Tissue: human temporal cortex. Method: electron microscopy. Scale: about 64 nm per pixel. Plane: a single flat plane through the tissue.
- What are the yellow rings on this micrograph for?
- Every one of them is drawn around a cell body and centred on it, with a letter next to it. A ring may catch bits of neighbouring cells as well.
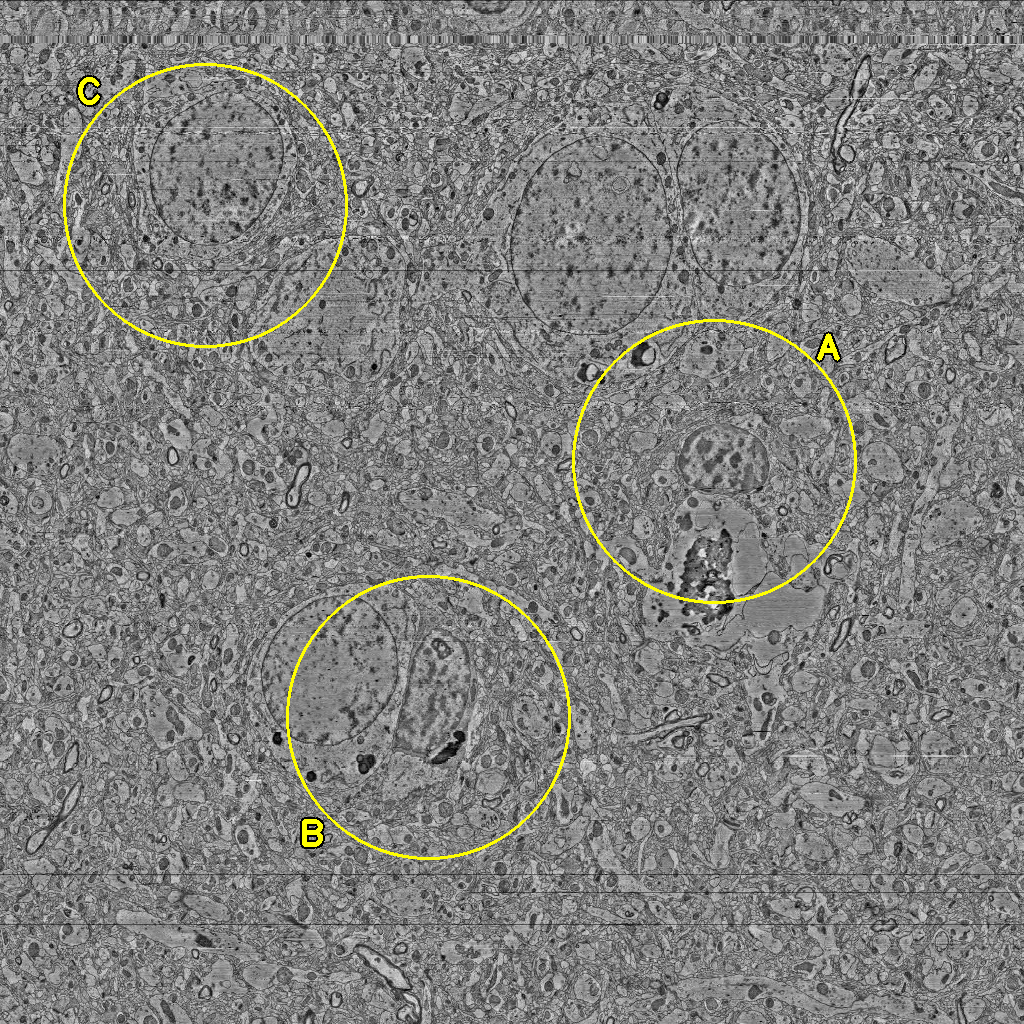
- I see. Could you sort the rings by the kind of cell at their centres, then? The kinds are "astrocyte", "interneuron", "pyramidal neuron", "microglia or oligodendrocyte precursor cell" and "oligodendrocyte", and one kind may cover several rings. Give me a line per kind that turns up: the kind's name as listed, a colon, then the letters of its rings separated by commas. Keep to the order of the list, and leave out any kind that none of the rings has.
pyramidal neuron: C
microglia or oligodendrocyte precursor cell: A
oligodendrocyte: B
